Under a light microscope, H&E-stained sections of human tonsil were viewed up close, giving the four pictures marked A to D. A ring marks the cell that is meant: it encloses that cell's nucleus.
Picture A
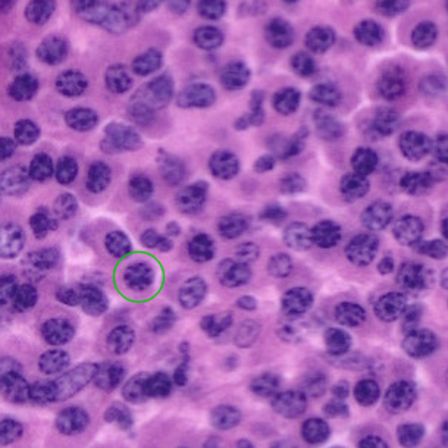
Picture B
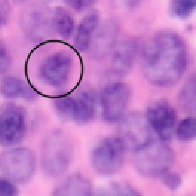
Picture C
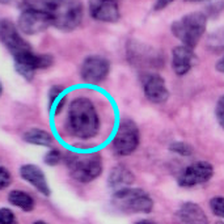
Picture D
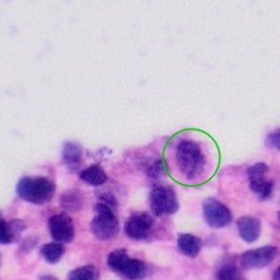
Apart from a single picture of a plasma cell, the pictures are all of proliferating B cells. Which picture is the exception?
A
